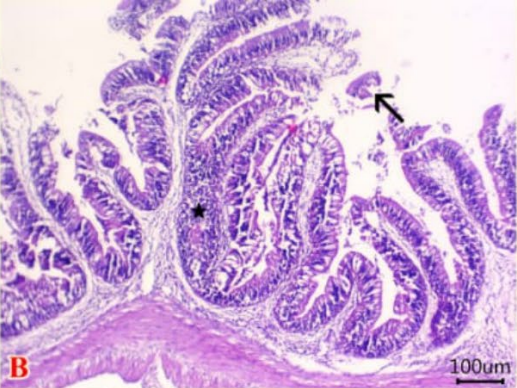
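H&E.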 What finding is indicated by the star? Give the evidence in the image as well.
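Inflammatory cell aggregations. The core of the fold at the star is crowded with densely packed small nuclei. This core is broader and more cellular than the cores of the neighbouring folds.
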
